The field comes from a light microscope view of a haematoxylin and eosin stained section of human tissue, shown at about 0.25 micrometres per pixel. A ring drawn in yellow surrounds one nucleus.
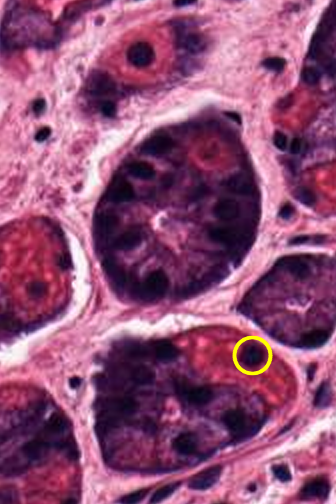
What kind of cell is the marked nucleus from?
parietal cell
